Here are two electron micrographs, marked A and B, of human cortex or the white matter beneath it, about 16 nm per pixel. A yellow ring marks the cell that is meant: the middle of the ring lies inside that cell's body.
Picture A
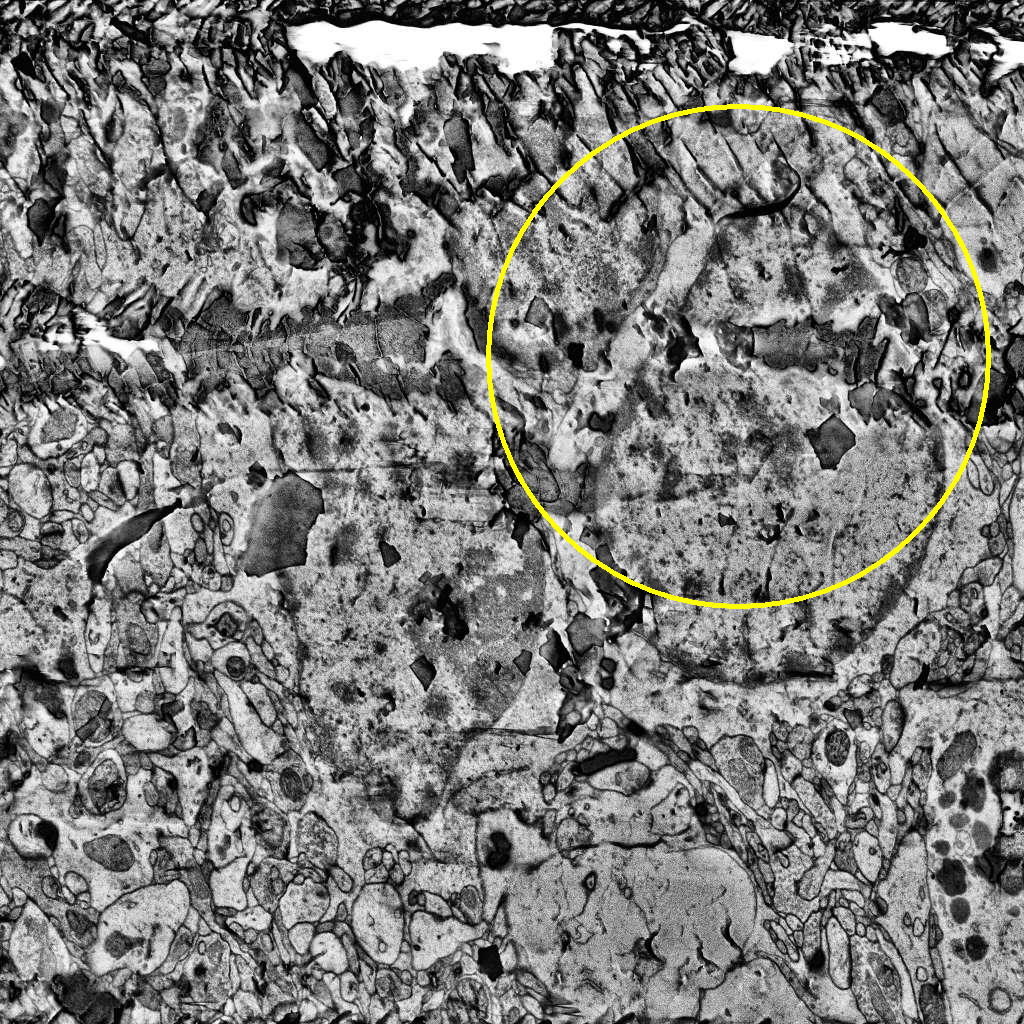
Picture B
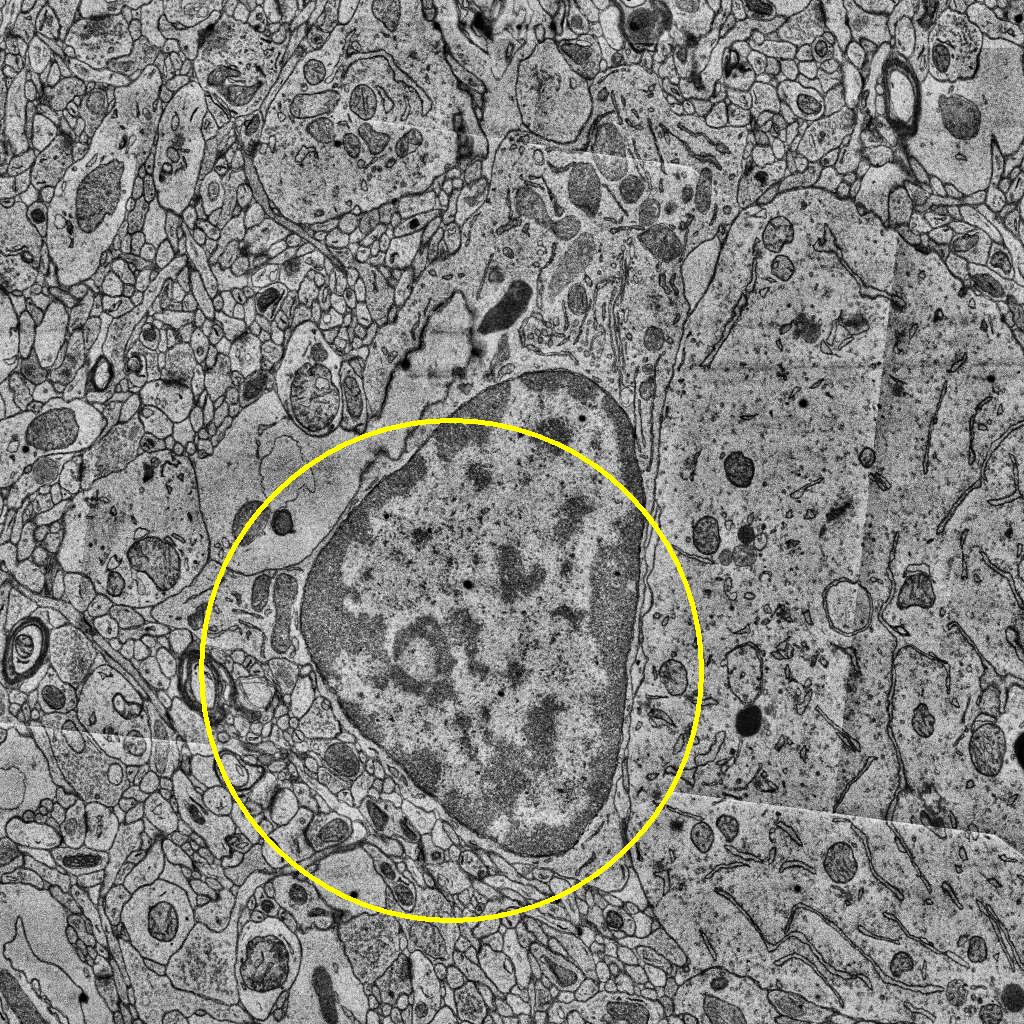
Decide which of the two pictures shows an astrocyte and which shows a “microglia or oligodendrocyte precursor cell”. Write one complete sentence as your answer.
Picture B shows a “microglia or oligodendrocyte precursor cell”, while picture A shows an astrocyte.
